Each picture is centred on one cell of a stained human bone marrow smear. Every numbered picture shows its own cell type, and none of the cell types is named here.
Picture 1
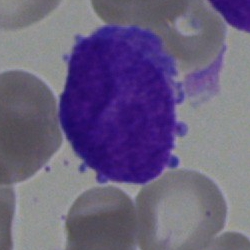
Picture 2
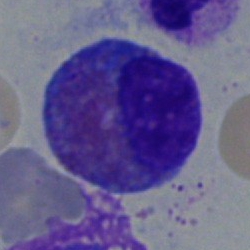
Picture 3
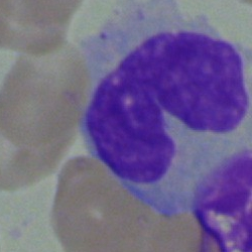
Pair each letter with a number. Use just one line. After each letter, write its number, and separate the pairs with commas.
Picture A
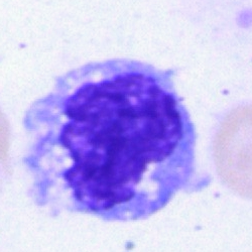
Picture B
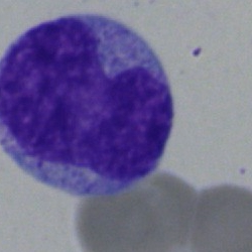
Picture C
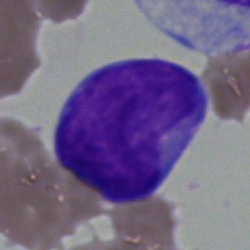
A 3, B 3, C 1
